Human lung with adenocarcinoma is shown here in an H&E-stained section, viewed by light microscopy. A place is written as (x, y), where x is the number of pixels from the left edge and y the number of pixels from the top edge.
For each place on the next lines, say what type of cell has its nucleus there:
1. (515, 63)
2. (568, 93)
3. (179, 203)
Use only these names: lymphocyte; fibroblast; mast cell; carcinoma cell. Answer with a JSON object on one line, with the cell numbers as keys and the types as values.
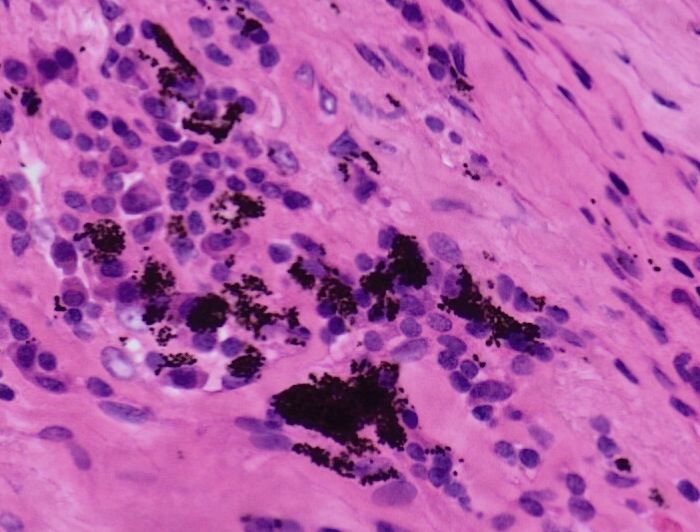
{"1": "fibroblast", "2": "fibroblast", "3": "lymphocyte"}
